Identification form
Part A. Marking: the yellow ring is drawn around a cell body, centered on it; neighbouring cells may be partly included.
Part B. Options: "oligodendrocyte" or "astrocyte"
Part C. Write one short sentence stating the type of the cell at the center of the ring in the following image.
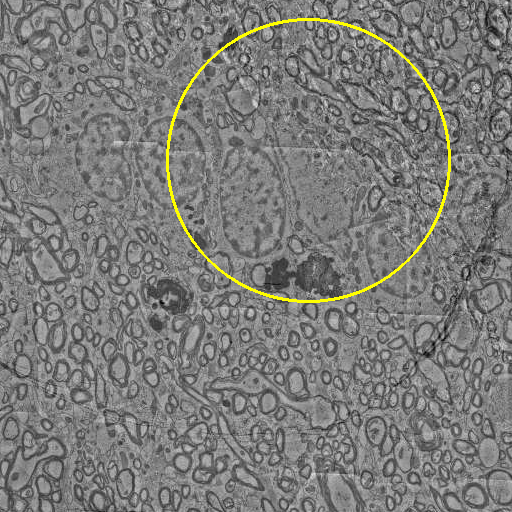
The center of the ring holds an astrocyte.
